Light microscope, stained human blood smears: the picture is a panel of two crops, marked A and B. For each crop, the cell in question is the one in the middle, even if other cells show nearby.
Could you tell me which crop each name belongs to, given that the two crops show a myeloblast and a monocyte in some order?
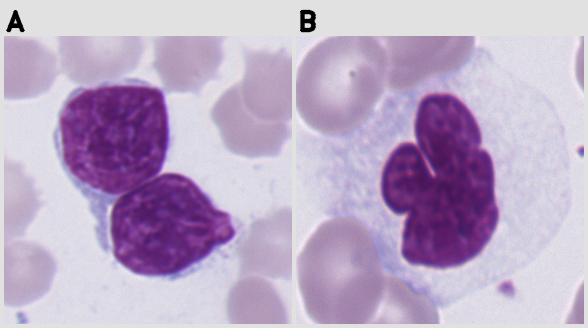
A: myeloblast
B: monocyte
